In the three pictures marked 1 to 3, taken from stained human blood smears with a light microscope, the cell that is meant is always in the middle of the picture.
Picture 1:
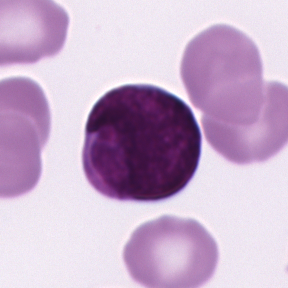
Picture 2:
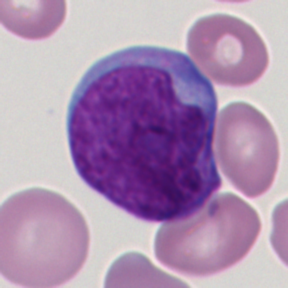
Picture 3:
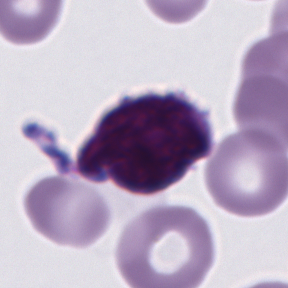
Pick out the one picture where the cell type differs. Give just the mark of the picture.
2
